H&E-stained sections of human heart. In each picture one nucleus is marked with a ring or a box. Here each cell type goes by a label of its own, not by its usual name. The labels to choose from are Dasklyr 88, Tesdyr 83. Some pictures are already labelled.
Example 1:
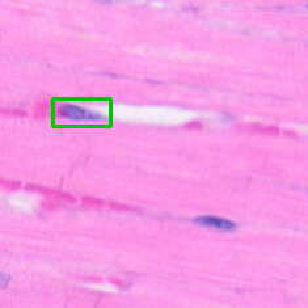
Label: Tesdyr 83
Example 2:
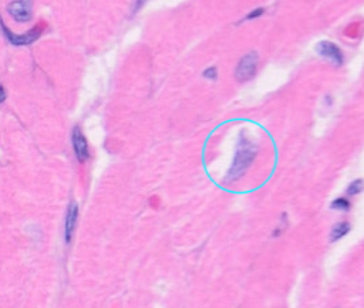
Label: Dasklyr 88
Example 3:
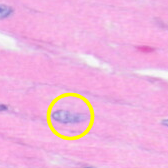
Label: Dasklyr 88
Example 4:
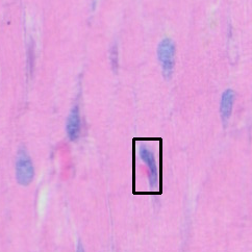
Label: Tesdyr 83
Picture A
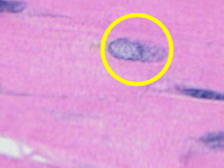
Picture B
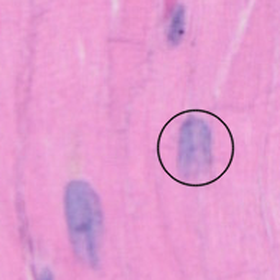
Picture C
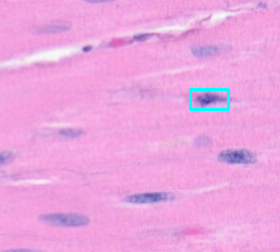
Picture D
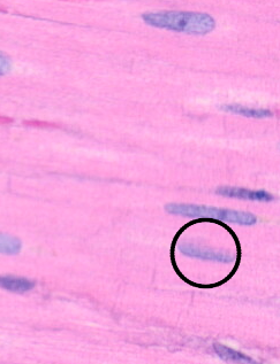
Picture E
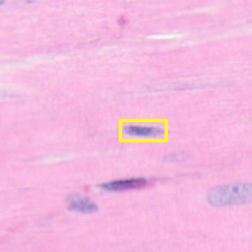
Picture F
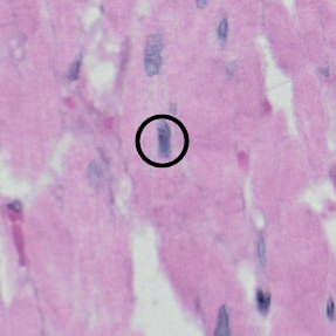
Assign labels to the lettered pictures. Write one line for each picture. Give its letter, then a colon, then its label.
A: Dasklyr 88
B: Dasklyr 88
C: Tesdyr 83
D: Dasklyr 88
E: Tesdyr 83
F: Tesdyr 83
